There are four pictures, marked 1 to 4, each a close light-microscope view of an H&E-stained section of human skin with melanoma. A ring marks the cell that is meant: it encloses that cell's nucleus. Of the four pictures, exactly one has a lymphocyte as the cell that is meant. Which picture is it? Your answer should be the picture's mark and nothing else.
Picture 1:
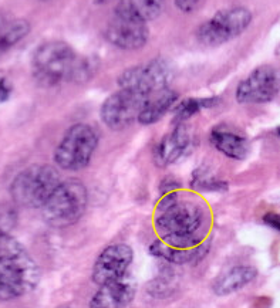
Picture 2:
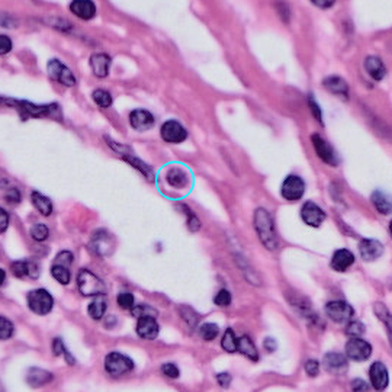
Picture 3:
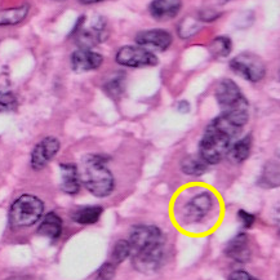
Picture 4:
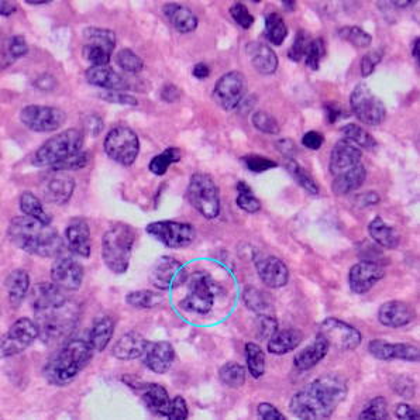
2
